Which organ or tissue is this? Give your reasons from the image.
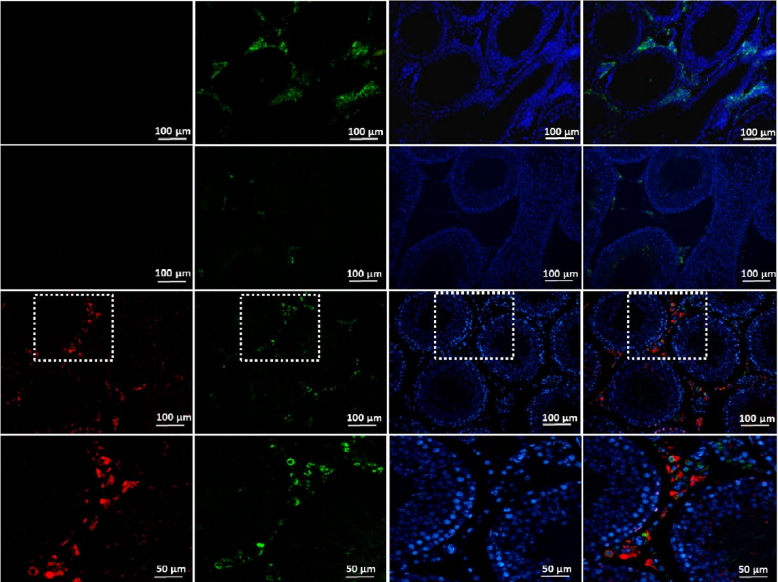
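Many round tubule cross-sections packed side by side. Small cell clusters lie in the angles between tubules.
Answer: testis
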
